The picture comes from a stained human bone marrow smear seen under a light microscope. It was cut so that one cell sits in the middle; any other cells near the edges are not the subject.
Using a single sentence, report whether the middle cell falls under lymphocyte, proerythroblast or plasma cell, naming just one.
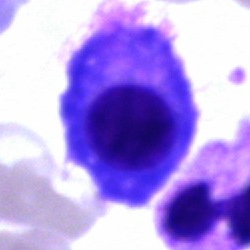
Centrally within this crop lies a plasma cell.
